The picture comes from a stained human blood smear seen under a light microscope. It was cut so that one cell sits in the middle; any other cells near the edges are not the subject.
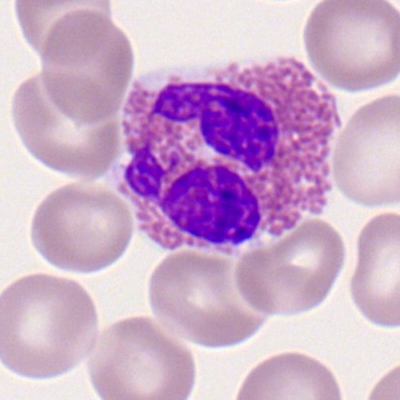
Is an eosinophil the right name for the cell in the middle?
yes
